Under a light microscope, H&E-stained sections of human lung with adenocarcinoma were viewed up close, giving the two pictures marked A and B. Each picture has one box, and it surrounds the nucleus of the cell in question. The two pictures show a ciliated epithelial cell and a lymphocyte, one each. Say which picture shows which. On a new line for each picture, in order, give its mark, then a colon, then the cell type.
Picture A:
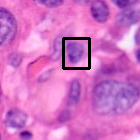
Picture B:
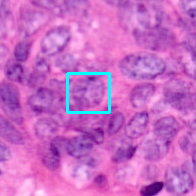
A: lymphocyte
B: ciliated epithelial cell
